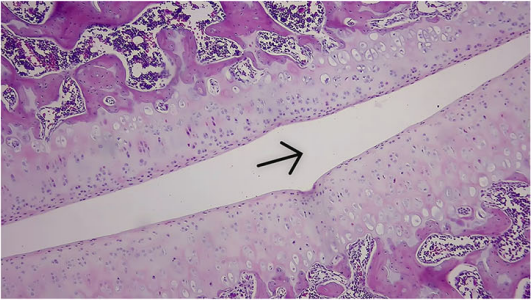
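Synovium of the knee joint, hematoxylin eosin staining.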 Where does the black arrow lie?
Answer: Articular cavity.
